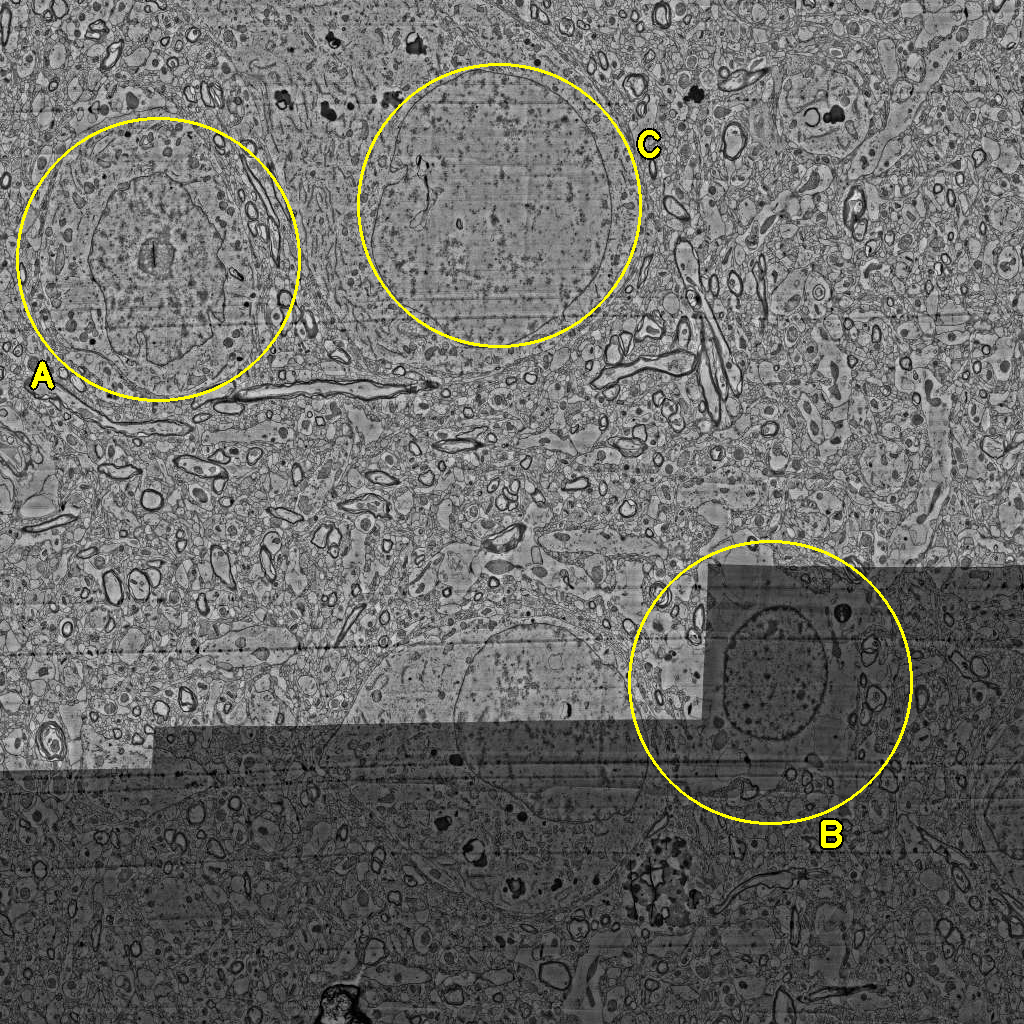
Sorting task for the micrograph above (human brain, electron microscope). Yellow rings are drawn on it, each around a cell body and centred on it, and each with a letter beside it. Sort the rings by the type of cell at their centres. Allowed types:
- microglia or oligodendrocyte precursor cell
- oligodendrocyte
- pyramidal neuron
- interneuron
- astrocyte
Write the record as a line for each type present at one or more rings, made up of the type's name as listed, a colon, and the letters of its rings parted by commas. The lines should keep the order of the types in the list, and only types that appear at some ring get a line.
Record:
pyramidal neuron: C
interneuron: A
astrocyte: B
